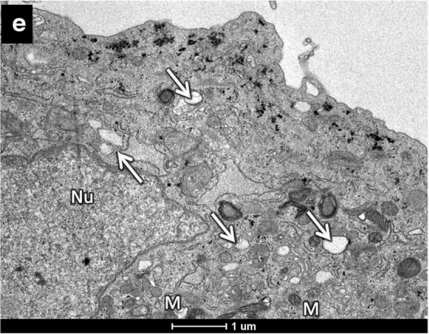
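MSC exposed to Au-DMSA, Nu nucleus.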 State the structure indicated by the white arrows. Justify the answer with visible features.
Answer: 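The arrowed structures are small pale, almost empty-looking vacuole-like profiles in the cytoplasm. They appear lighter than the surrounding cytoplasm.
Answer: electron-lucent structures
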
